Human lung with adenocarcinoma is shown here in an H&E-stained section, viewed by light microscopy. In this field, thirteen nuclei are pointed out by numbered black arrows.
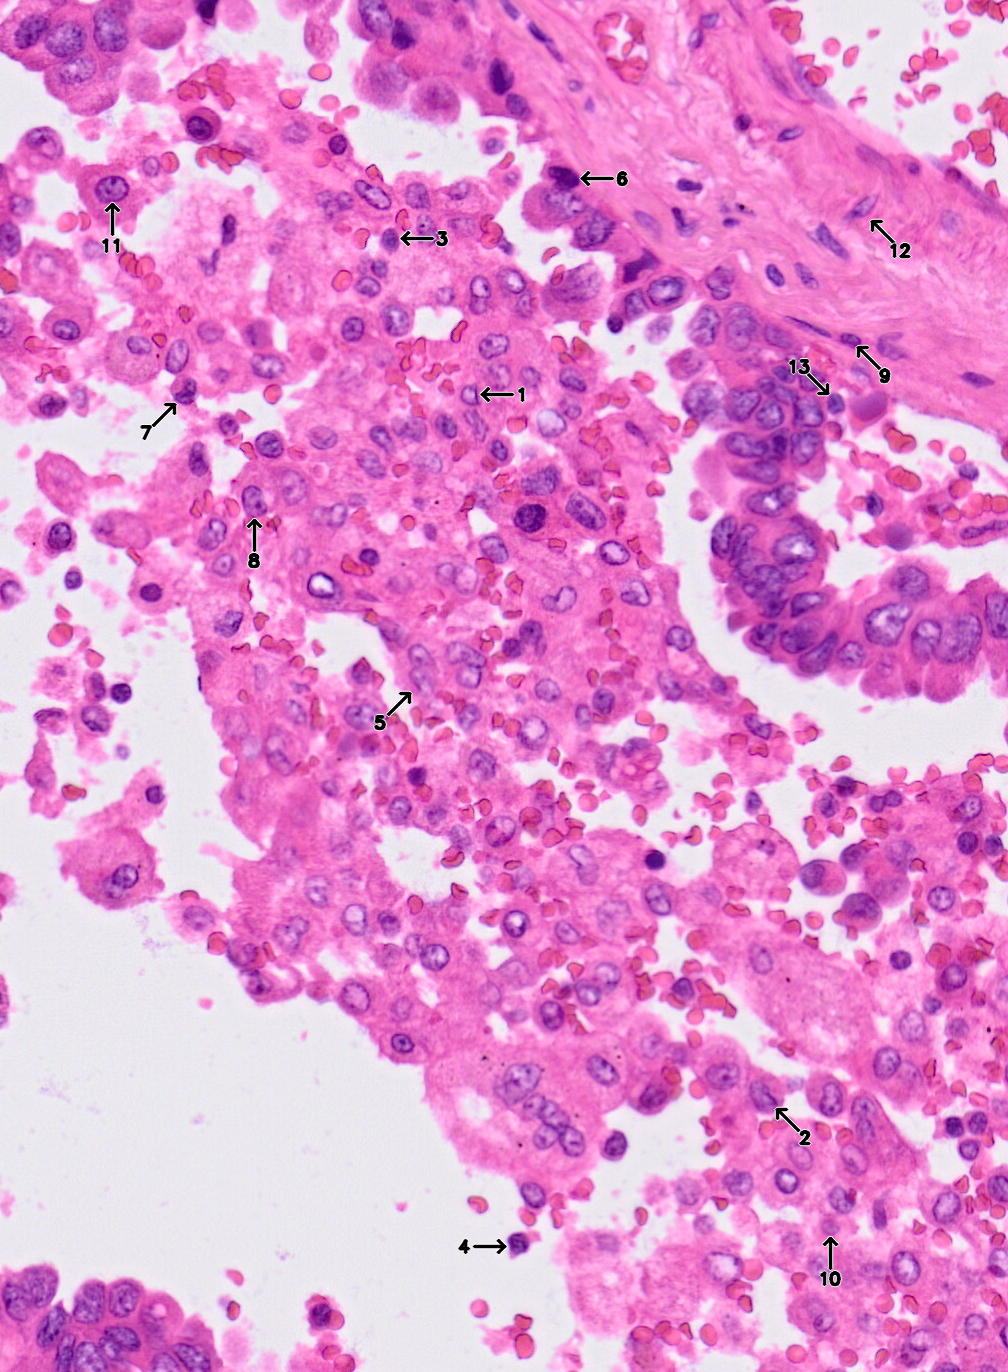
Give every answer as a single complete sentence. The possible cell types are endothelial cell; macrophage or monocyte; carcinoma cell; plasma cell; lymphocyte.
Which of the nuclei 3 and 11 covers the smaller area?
Nucleus 3 covers less area, with nucleus 11 about 2.5 times as large.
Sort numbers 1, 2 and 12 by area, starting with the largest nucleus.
The nuclei rank 2, 12, 1, from largest to smallest.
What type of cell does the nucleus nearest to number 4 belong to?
The cell nearest to number 4 is a macrophage or monocyte.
